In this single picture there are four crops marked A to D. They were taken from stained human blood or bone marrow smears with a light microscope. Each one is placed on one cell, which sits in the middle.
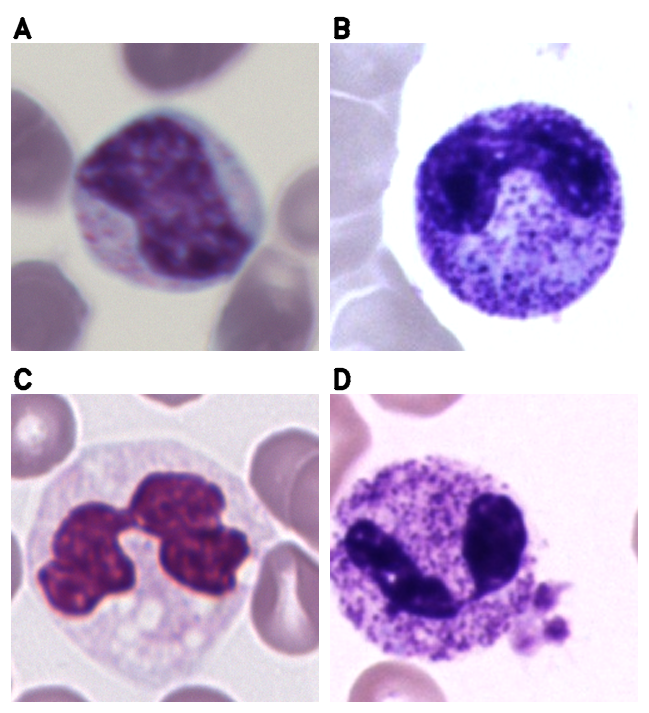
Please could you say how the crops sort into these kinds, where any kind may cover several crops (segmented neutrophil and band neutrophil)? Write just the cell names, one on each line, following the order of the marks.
band neutrophil
band neutrophil
segmented neutrophil
segmented neutrophil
